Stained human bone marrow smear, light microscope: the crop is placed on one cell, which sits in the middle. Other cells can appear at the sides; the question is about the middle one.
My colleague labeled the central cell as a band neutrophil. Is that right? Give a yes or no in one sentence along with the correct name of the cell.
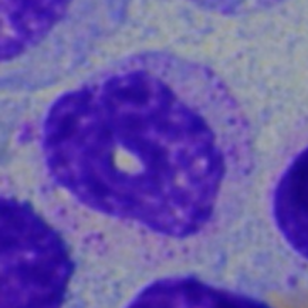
Yes, the cell in the center of this crop is a band neutrophil.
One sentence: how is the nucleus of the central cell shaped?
A single compact nucleus, round, oval or kidney-shaped, is what this cell shows.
